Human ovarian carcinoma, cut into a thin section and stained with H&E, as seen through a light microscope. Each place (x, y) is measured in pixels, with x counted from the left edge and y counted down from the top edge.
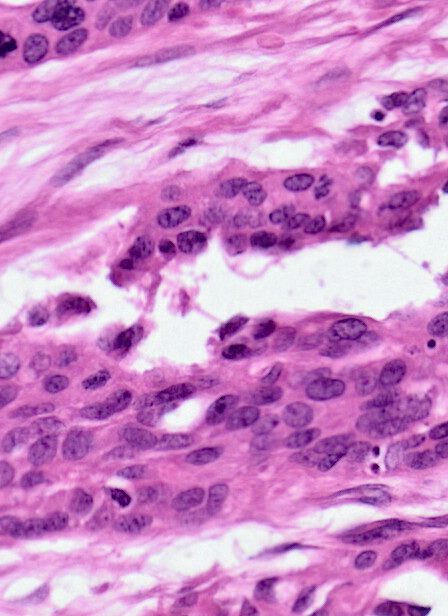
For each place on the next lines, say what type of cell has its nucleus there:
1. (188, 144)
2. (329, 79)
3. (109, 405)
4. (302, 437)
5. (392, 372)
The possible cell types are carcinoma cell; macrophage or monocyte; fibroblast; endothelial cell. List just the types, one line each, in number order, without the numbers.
fibroblast
fibroblast
carcinoma cell
carcinoma cell
carcinoma cell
